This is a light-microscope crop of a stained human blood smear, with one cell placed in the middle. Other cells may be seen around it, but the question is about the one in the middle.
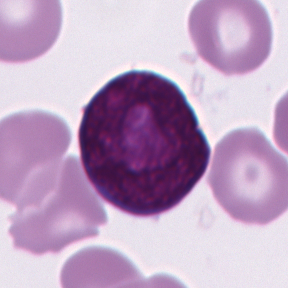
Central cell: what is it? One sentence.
The cell nearest the centre of this crop is a myeloblast.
